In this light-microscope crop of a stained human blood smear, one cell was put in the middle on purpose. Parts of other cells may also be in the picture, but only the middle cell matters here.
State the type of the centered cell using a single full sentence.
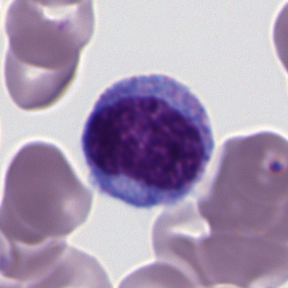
Occupying the centre of the crop is a monocyte.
